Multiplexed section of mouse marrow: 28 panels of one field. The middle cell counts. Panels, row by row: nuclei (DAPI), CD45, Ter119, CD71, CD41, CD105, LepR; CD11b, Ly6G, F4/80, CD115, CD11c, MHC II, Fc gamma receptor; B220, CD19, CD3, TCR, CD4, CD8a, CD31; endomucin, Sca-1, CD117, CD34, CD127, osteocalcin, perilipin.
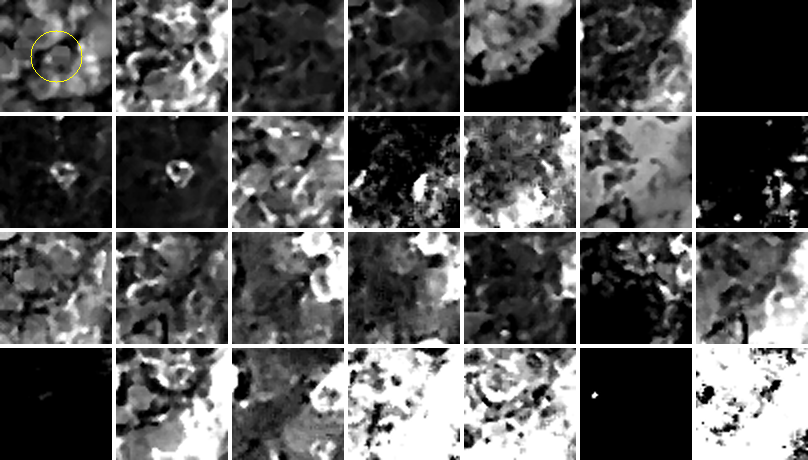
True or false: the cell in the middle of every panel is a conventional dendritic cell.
False; it is a megakaryocyte progenitor.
